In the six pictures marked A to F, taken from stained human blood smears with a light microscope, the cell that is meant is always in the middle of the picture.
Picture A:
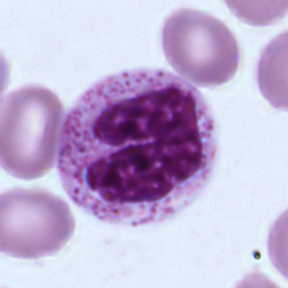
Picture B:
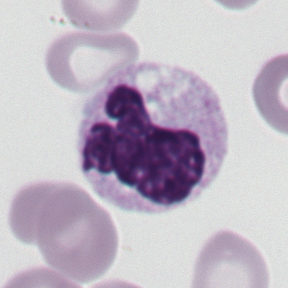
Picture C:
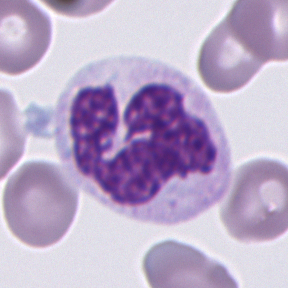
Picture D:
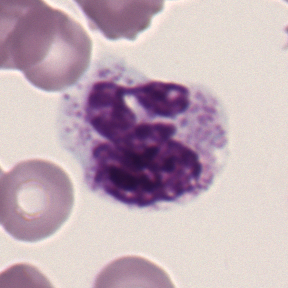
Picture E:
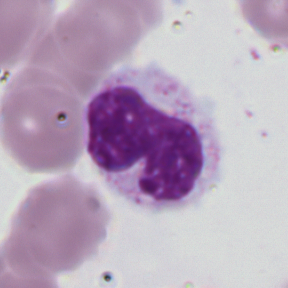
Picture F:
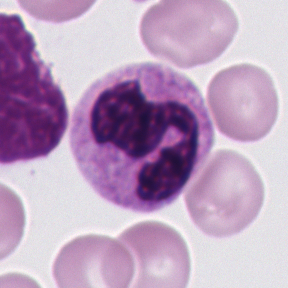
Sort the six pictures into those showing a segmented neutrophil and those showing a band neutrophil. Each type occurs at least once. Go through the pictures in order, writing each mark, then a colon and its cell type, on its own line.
A: band neutrophil
B: segmented neutrophil
C: segmented neutrophil
D: segmented neutrophil
E: band neutrophil
F: segmented neutrophil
